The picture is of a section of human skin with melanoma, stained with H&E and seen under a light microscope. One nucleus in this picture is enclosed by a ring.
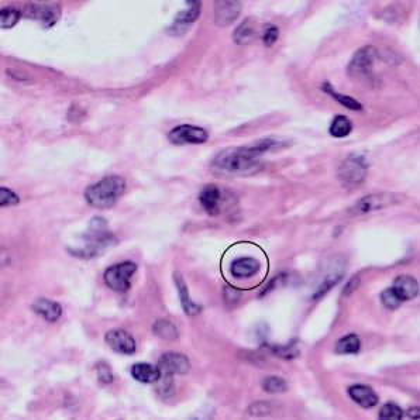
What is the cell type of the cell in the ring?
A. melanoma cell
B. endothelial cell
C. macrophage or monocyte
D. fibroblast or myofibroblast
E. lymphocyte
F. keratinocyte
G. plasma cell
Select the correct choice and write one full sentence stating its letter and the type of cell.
Option E holds, since the cell in the ring is a lymphocyte.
